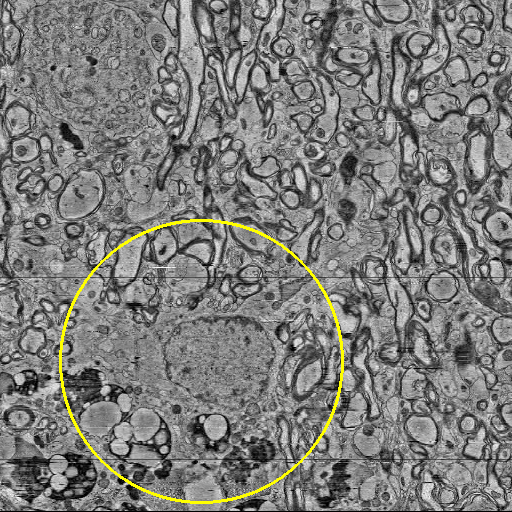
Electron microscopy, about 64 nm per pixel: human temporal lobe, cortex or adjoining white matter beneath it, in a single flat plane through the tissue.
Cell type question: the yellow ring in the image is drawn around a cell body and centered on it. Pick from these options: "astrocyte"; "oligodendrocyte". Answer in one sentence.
The ringed cell at the center is an astrocyte.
